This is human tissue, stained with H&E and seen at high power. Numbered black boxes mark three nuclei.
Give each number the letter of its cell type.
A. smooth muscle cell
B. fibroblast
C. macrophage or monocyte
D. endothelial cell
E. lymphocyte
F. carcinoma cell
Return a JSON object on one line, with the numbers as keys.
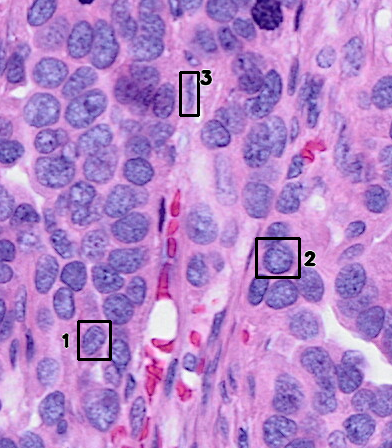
{"1": "F", "2": "F", "3": "B"}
